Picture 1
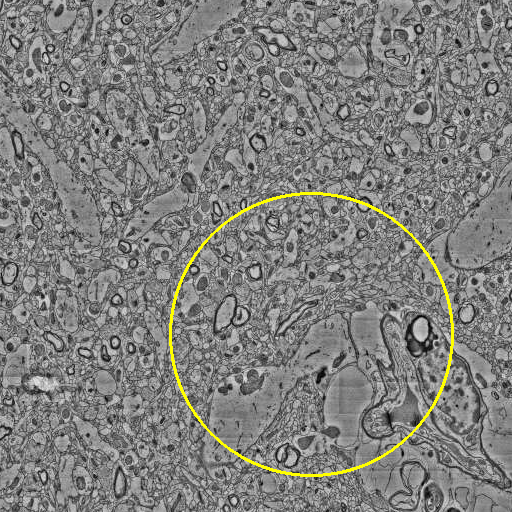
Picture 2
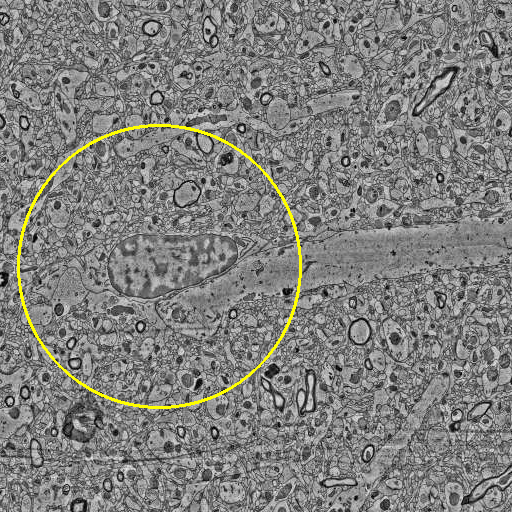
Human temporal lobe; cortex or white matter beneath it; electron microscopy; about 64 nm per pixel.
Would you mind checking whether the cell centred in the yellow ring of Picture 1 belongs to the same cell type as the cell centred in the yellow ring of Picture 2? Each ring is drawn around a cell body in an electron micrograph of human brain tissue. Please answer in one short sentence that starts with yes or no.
No, the two cells are of two types.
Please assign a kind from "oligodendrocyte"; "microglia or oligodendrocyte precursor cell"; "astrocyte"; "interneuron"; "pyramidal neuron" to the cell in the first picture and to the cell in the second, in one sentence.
In the first picture we have an oligodendrocyte, and in the second, a microglial cell or oligodendrocyte precursor cell.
